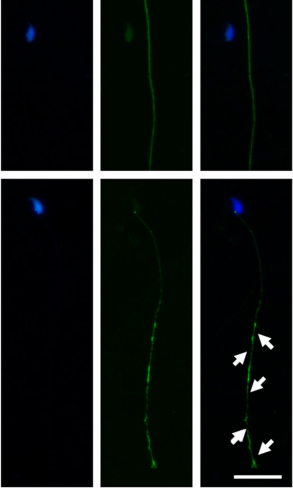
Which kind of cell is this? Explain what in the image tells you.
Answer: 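Small compact blue-stained heads.
Hence: sperms.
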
